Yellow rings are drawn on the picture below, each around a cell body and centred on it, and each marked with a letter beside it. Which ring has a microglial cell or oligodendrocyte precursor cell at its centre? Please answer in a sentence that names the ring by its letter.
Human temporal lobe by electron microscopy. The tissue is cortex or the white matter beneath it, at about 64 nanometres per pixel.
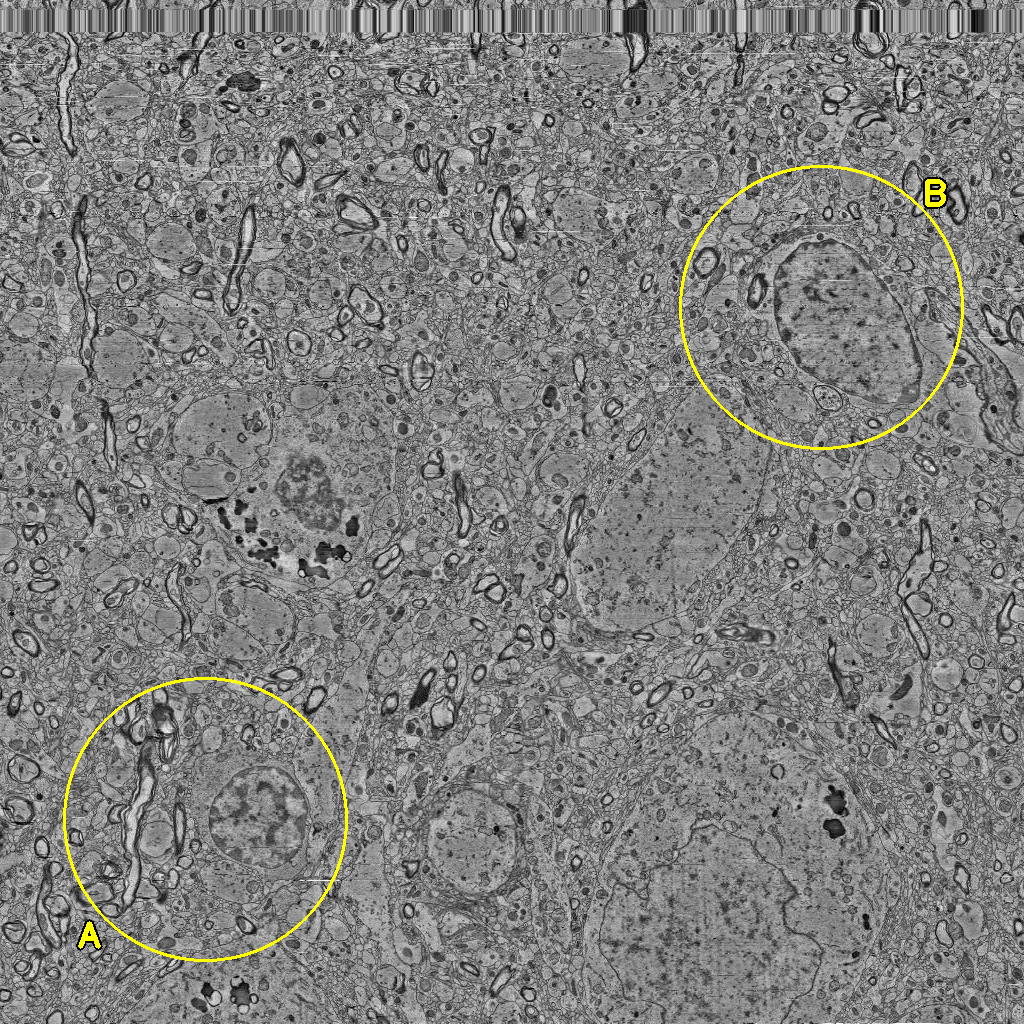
That is ring B.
